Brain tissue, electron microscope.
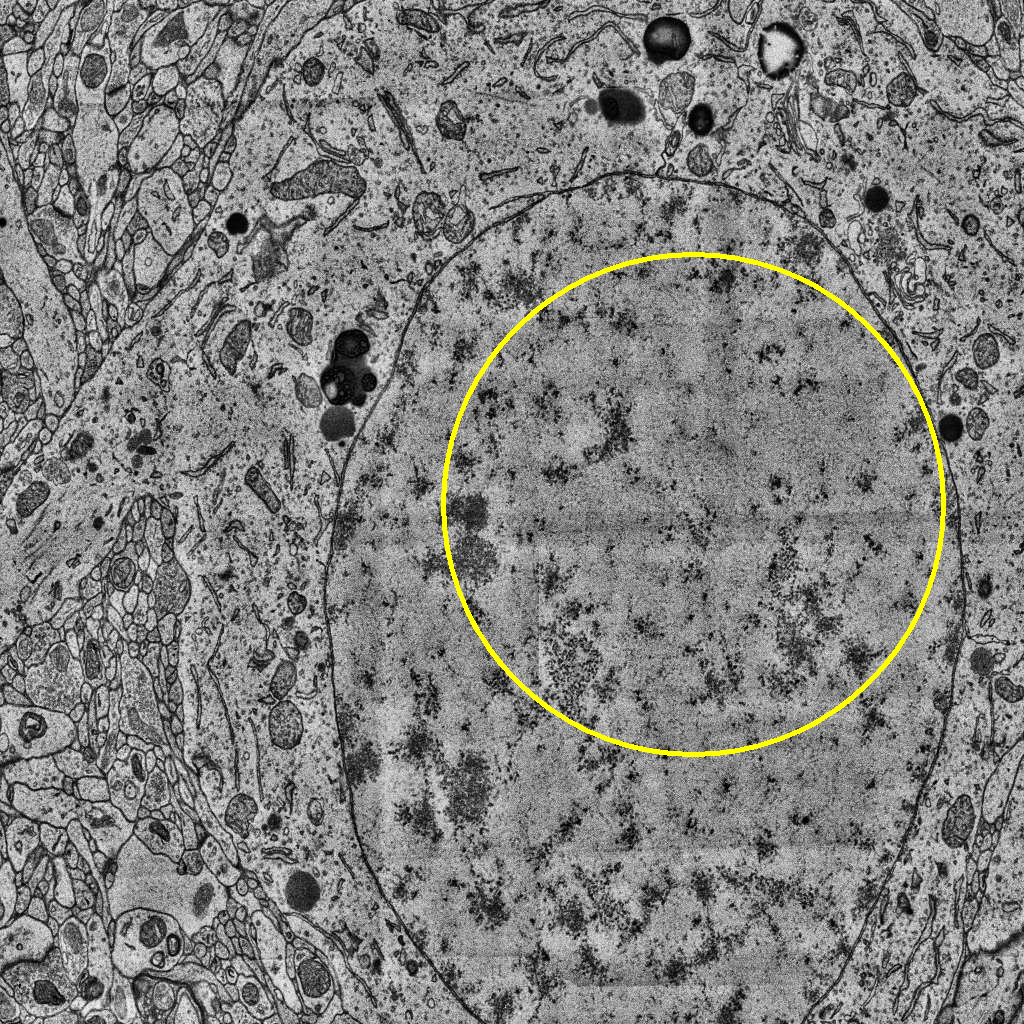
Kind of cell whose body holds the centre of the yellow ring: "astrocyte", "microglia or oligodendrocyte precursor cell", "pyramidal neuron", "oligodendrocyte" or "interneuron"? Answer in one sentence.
The ring's centre falls on a pyramidal neuron.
